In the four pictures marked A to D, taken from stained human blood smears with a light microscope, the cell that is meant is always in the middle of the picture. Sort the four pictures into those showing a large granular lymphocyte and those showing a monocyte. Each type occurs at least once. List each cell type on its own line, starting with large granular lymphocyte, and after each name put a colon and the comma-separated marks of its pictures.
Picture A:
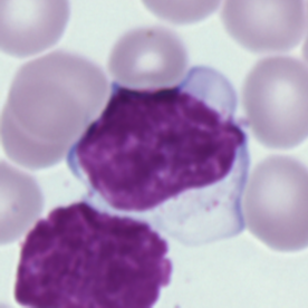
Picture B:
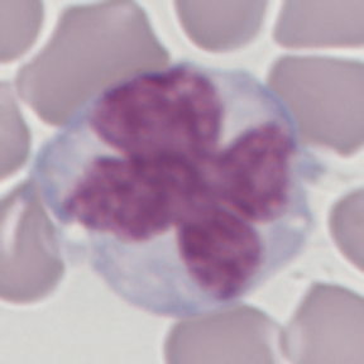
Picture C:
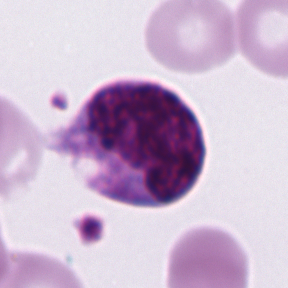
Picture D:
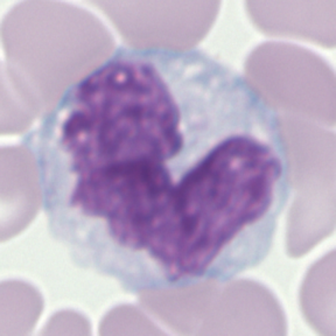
large granular lymphocyte: A
monocyte: B, C, D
